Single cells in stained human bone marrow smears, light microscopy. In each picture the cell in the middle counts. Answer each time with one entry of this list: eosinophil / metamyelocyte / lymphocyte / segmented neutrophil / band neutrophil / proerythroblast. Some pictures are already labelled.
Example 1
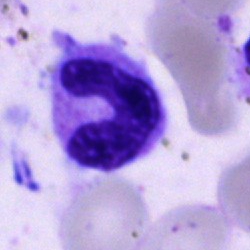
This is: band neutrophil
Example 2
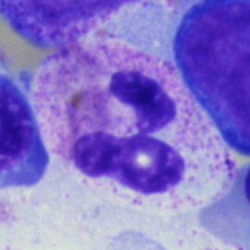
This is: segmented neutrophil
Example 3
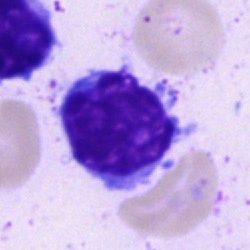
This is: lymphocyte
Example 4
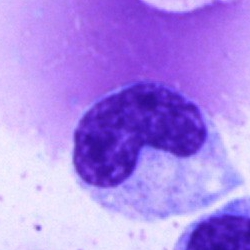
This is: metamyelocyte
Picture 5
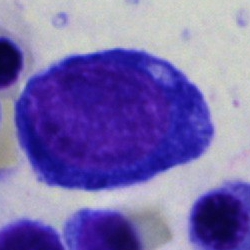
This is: proerythroblast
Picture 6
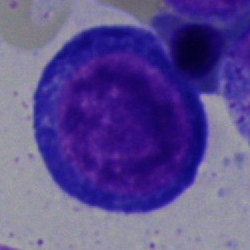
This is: proerythroblast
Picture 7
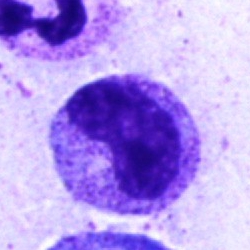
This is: metamyelocyte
